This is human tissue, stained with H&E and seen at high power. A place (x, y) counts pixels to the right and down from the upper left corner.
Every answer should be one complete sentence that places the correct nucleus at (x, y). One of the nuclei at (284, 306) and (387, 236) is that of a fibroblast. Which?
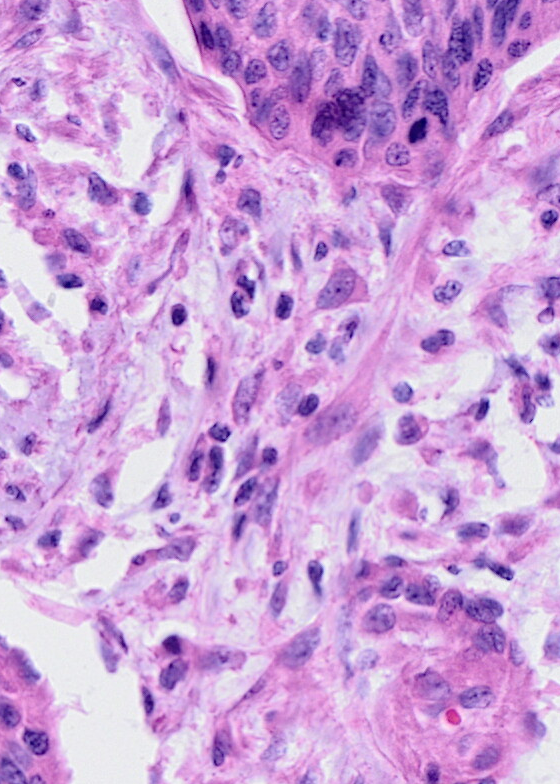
Of the pair, the nucleus located at (387, 236) belongs to a fibroblast.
